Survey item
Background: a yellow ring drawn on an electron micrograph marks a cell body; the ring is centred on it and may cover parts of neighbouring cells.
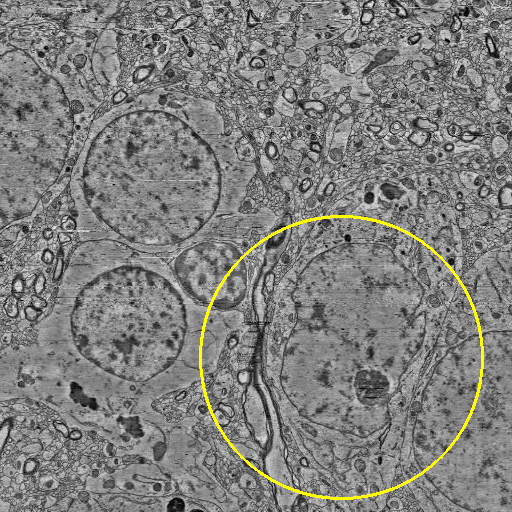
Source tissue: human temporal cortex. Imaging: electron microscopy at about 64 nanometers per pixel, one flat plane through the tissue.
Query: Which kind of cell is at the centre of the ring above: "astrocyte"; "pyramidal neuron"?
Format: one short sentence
The cell in the middle of the ring is a pyramidal neuron.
